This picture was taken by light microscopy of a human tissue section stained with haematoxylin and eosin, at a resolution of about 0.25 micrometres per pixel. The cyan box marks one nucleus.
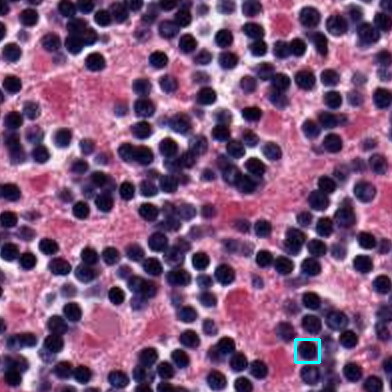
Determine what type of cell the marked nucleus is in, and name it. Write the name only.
cerebellar granule cell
